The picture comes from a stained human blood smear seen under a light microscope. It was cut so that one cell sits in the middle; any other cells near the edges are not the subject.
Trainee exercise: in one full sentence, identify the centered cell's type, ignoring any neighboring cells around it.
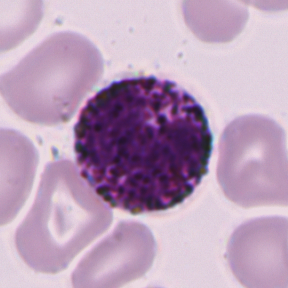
The crop's centre is taken up by a basophil.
